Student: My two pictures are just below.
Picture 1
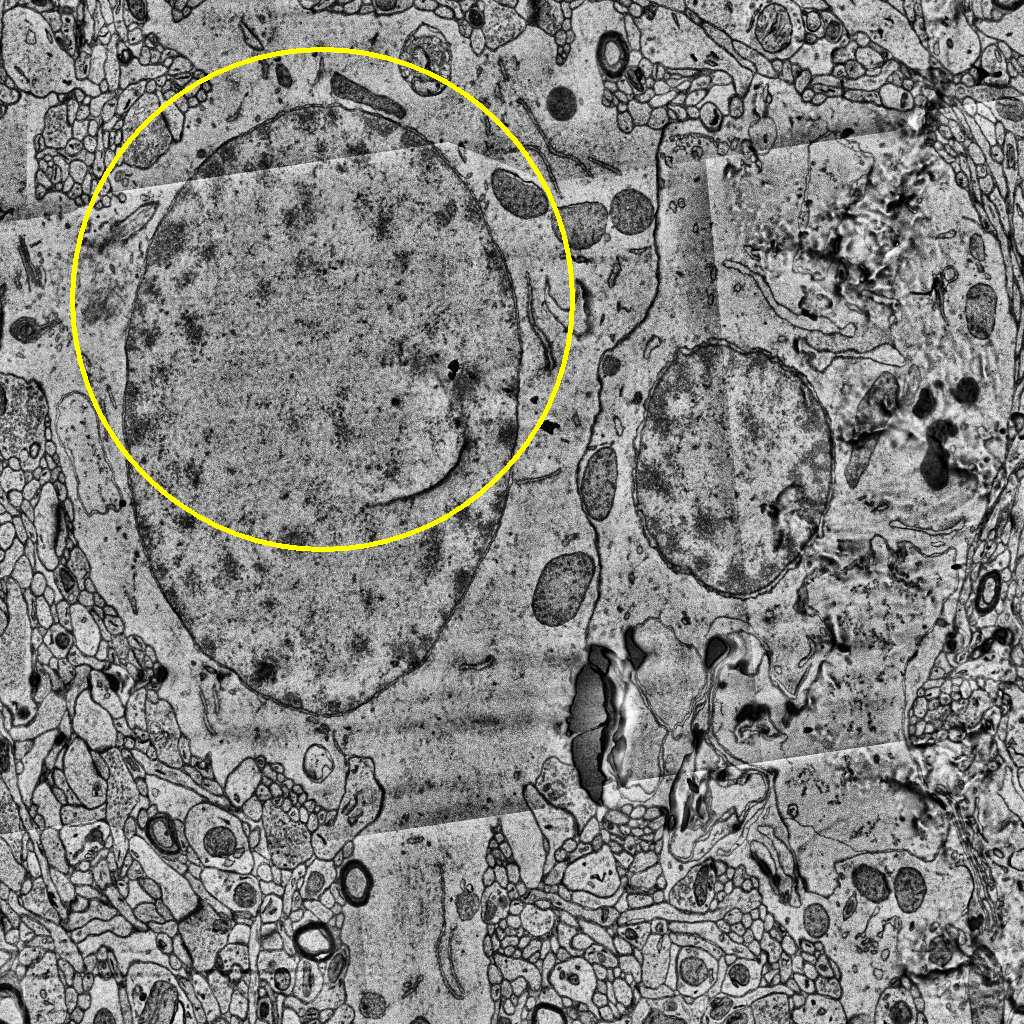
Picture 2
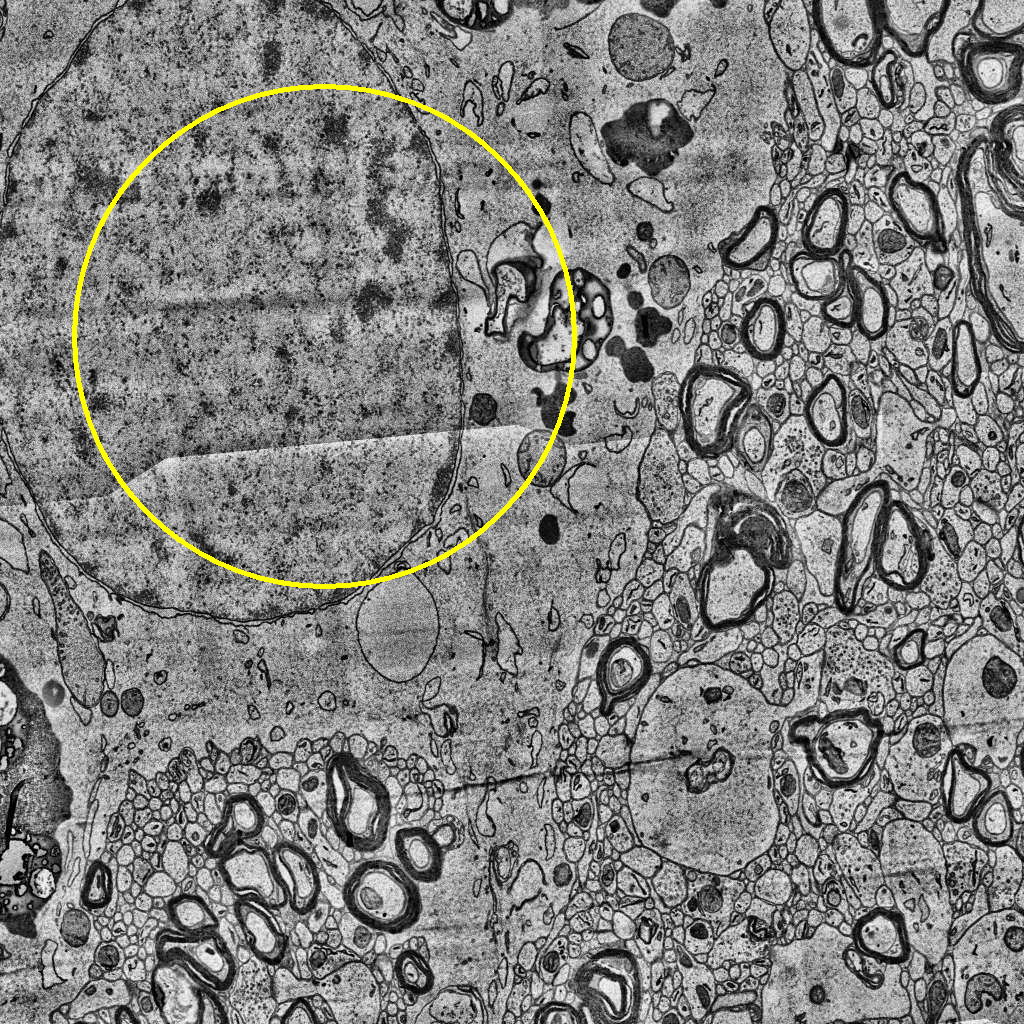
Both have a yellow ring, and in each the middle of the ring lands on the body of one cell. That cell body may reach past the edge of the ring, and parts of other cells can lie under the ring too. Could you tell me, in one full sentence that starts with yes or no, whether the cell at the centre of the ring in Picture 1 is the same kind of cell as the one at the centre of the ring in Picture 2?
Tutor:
Yes, the two cells are of the same kind.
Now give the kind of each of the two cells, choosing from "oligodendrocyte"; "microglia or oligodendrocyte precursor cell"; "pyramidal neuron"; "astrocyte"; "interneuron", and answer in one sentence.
The second cell is an astrocyte, just as the first is.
